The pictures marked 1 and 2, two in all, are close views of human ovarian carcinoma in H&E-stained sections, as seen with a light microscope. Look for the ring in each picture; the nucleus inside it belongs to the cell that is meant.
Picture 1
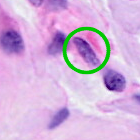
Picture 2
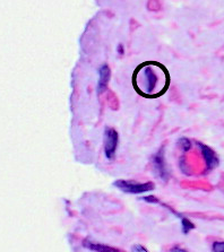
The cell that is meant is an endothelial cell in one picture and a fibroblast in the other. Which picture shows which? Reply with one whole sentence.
Picture 2 shows a fibroblast, while picture 1 shows an endothelial cell.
